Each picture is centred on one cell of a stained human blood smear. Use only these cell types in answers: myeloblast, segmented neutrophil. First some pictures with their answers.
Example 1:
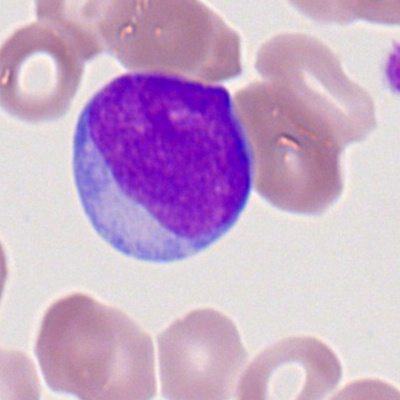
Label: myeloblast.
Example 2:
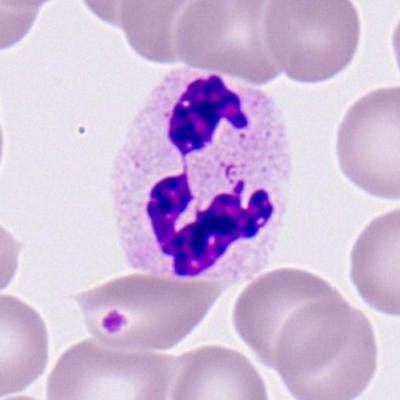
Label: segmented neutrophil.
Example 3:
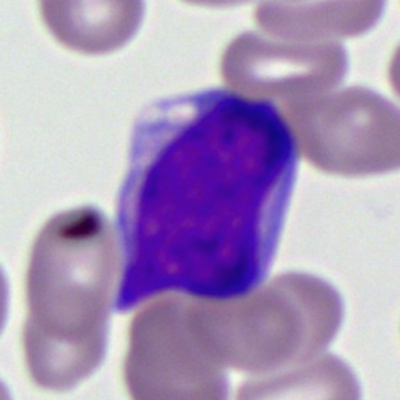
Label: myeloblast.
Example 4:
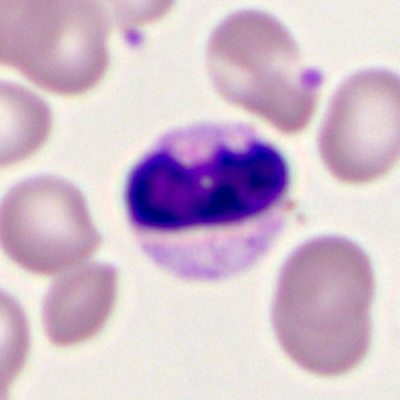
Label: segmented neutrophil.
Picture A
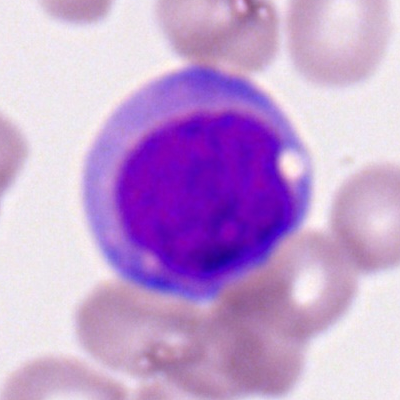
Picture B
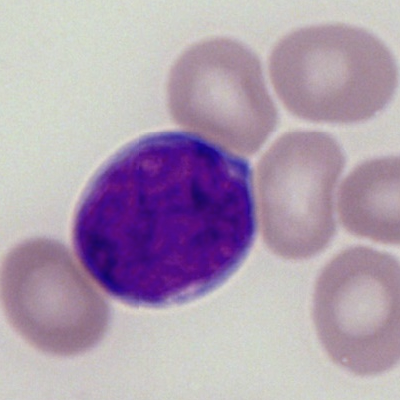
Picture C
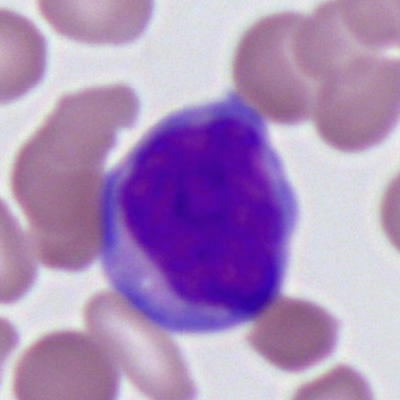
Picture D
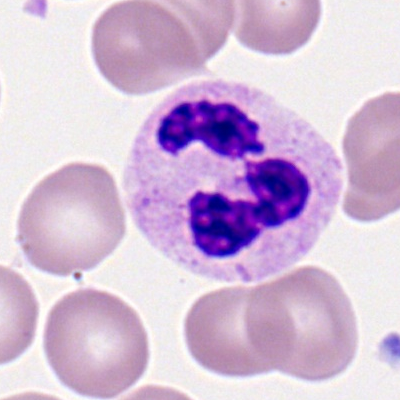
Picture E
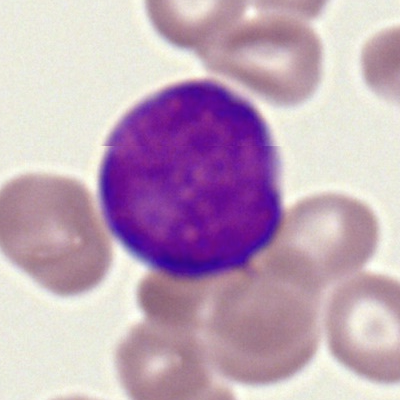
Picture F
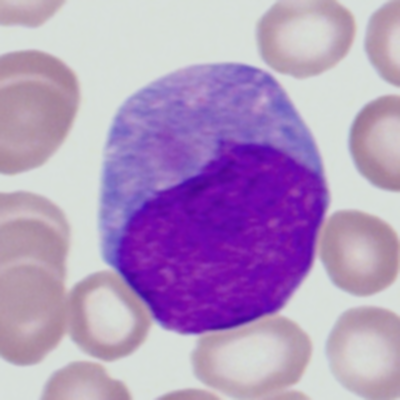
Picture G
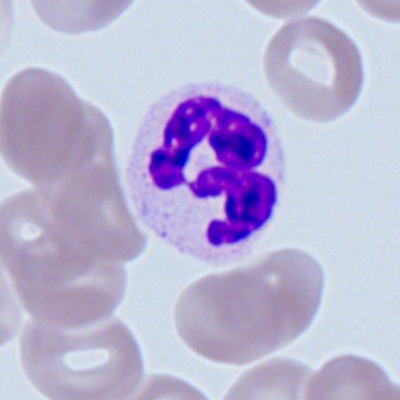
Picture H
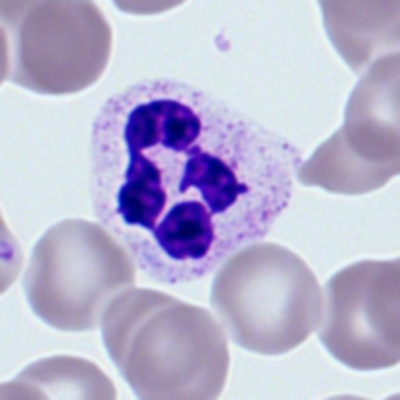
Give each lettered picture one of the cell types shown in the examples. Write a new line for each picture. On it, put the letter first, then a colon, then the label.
A: myeloblast.
B: myeloblast.
C: myeloblast.
D: segmented neutrophil.
E: myeloblast.
F: myeloblast.
G: segmented neutrophil.
H: segmented neutrophil.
